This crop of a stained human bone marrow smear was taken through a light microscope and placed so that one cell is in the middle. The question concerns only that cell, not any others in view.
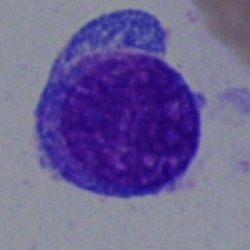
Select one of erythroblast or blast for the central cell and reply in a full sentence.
Classification of the middle cell gives a blast.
